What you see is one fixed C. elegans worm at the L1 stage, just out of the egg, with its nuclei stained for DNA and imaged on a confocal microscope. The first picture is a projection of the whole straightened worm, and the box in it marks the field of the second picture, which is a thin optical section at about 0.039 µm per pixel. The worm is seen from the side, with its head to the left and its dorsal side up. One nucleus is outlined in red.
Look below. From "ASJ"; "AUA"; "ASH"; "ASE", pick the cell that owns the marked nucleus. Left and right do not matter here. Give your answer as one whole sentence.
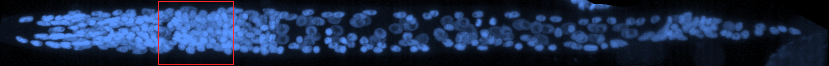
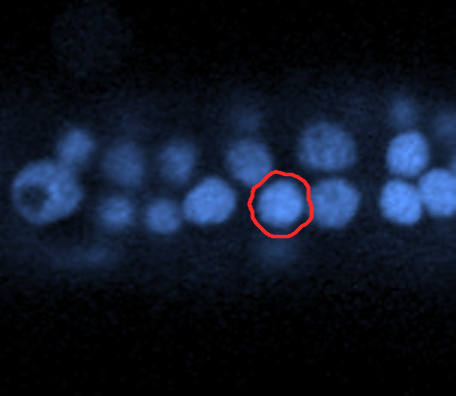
It is the nucleus of AUA, a neuron.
